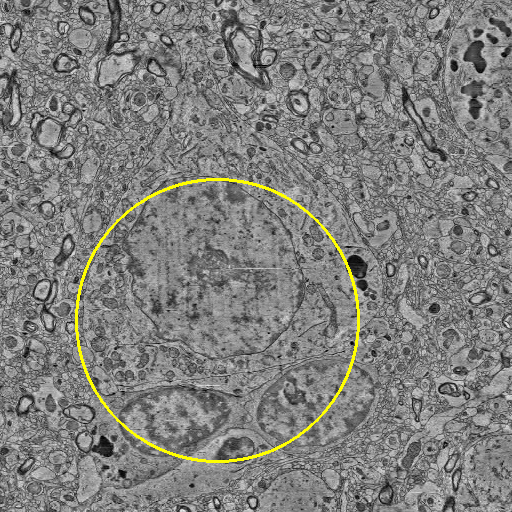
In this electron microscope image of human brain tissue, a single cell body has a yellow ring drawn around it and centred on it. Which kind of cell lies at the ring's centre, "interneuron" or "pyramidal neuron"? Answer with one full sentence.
It is an interneuron whose cell body lies at the centre of the yellow ring here.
